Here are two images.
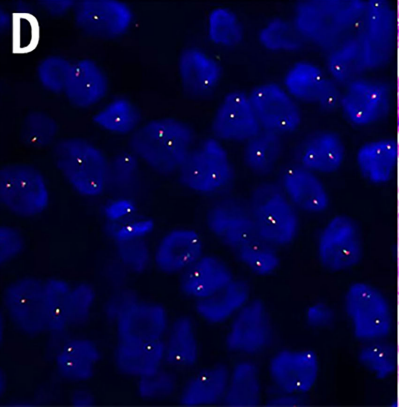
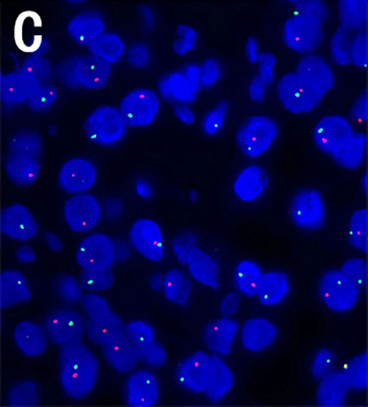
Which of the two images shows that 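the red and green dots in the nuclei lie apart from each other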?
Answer: The second image.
